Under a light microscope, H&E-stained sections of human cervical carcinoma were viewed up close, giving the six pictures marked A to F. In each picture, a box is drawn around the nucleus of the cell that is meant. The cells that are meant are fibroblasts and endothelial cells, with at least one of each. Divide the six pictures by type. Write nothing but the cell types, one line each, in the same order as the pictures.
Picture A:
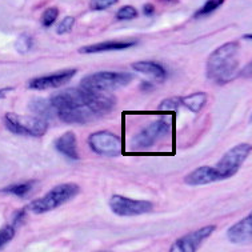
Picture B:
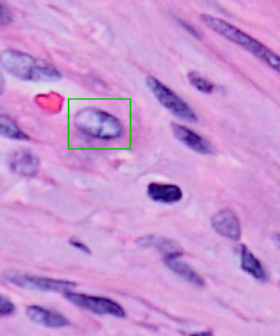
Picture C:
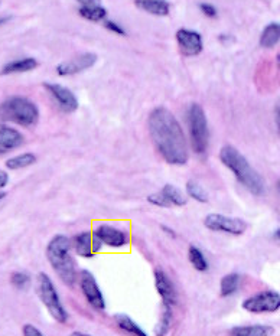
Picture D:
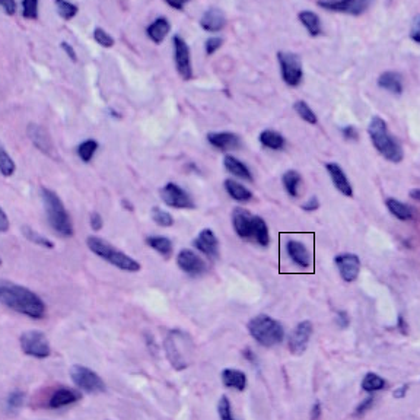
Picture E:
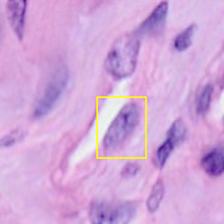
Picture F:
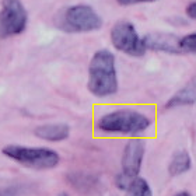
endothelial cell
endothelial cell
endothelial cell
fibroblast
endothelial cell
fibroblast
